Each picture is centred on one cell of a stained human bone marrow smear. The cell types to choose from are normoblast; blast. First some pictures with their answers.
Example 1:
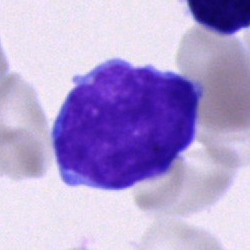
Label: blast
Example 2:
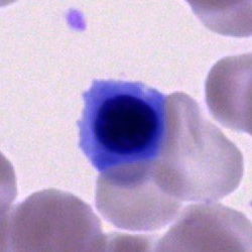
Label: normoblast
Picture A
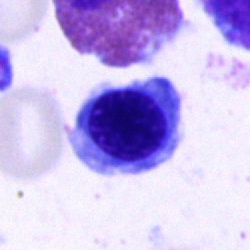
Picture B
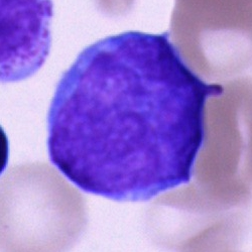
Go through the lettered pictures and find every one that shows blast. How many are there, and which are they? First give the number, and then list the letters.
1: B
